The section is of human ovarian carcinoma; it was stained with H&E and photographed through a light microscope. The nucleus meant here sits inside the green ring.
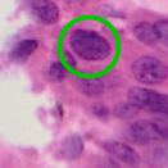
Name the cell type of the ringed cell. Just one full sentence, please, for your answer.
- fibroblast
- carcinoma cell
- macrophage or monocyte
In cell-type terms, the ringed cell is a carcinoma cell.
